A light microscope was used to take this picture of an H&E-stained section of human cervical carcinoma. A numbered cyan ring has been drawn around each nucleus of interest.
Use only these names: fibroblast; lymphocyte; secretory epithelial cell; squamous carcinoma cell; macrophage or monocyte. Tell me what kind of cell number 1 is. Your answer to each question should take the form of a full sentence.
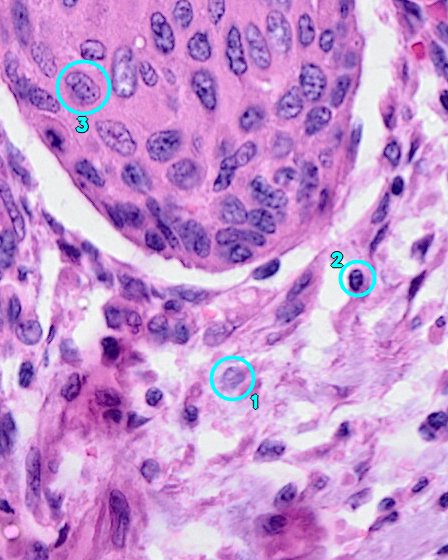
Here, the cell given the number 1 is a fibroblast.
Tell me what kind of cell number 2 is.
As for number 2, that cell is a lymphocyte.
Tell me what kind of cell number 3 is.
Among the marked cells, number 3 is a squamous carcinoma cell.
